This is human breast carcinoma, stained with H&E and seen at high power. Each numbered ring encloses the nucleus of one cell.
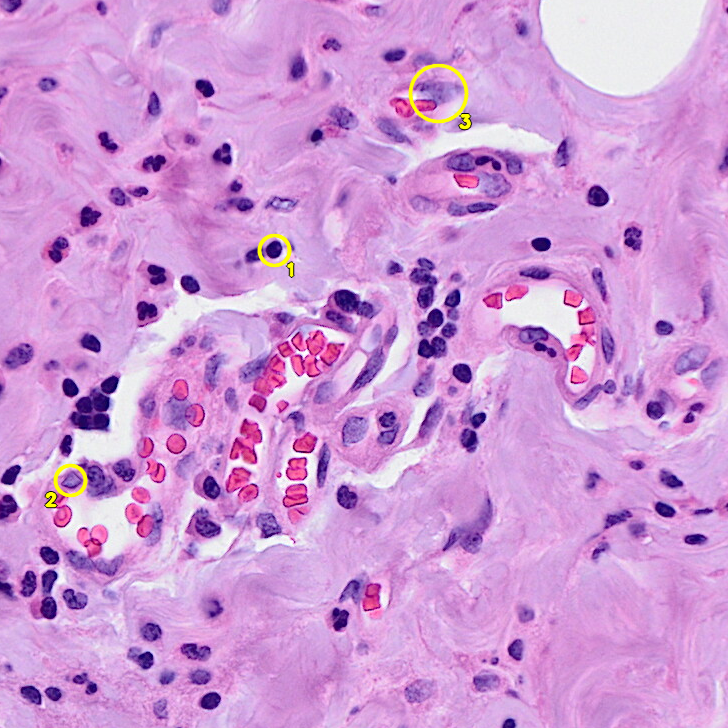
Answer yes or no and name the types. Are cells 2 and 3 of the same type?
Yes, just like cell 2, cell 3 is one of the endothelial cells.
